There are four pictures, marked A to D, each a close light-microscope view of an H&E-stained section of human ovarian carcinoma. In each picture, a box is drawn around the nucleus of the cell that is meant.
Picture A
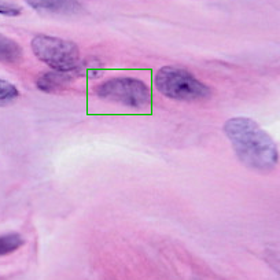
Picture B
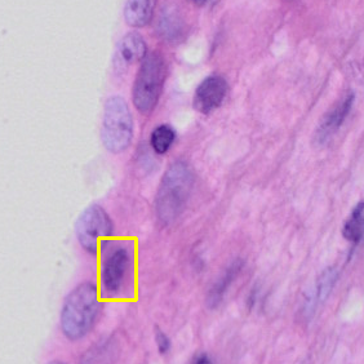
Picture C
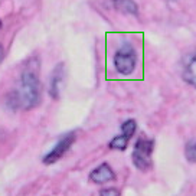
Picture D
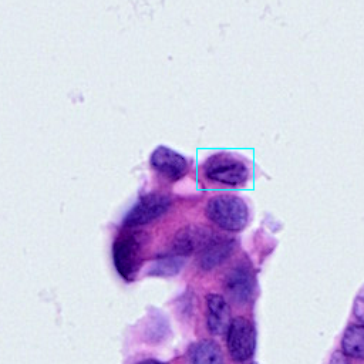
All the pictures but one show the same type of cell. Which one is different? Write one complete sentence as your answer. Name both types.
Unlike the rest, which show “macrophages or monocytes”, picture A shows an endothelial cell.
